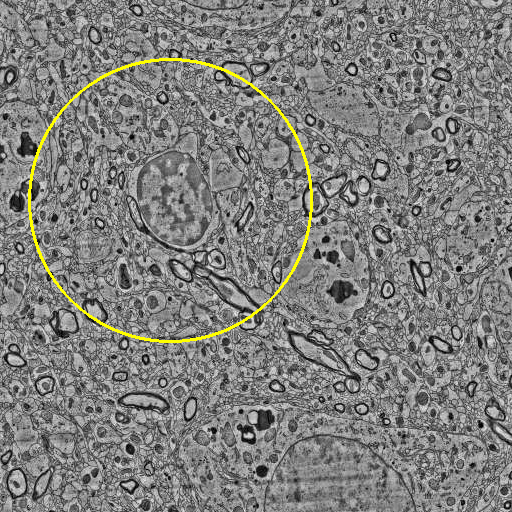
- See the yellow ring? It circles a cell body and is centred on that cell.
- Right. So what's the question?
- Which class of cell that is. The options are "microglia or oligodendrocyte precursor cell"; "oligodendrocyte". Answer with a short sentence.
The centre of the ring holds a microglial cell or oligodendrocyte precursor cell.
